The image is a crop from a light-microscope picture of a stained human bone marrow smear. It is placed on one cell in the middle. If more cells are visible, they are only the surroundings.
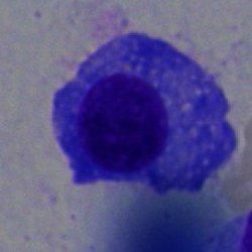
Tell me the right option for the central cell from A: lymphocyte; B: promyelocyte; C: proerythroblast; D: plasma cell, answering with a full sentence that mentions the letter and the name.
The right choice is option D: the cell in the middle is a plasma cell.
